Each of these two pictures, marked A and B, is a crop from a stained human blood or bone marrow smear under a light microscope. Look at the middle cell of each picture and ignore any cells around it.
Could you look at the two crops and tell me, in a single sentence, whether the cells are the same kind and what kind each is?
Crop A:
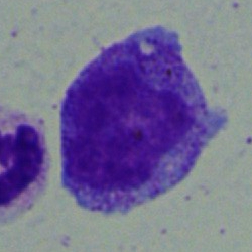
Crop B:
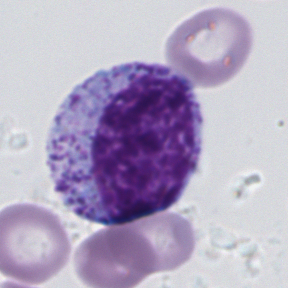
Yes, both crops show myelocytes, with no exception.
